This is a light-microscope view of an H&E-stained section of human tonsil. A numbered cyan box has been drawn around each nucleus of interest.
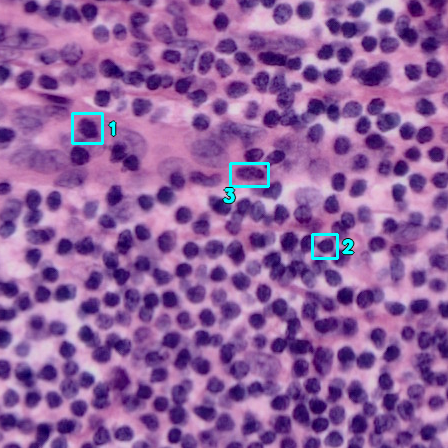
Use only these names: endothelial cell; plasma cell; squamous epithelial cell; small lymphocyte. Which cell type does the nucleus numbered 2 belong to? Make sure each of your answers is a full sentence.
The numbered cell 2 in this field is a small lymphocyte.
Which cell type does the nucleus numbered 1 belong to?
In this section, the cell tagged 1 is an endothelial cell.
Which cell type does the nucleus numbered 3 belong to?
The cell to which the number 3 is assigned is an endothelial cell.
